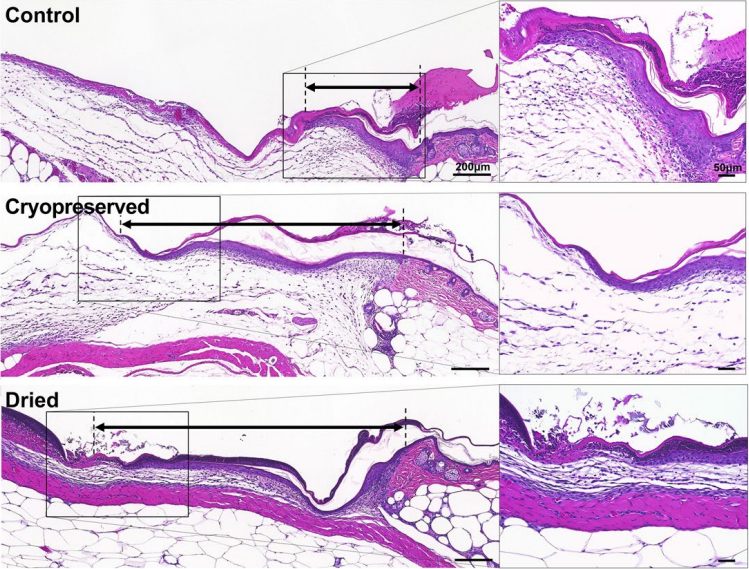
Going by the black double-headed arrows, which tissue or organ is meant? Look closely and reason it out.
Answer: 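A thin purple-stained cell layer covers the wound surface between the dashed lines. The layer is continuous with thicker epidermis at the wound margin.
Newly formed epithelium.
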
